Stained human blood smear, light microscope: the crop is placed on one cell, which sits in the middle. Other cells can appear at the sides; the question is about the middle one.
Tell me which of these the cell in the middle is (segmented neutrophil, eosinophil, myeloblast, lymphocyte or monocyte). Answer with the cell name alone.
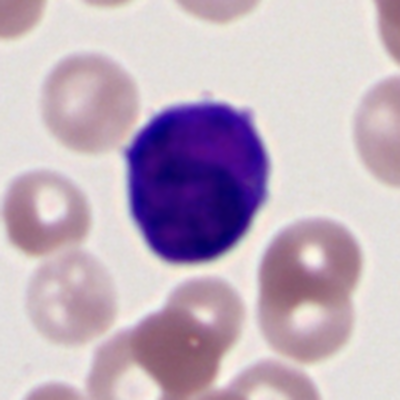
myeloblast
